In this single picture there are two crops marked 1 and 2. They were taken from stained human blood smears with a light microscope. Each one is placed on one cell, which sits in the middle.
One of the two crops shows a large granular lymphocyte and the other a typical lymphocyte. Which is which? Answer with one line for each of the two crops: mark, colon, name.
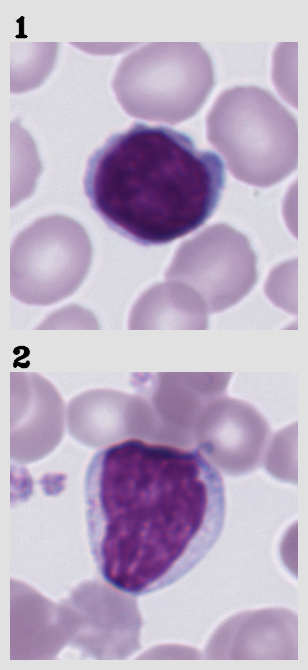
1: typical lymphocyte
2: large granular lymphocyte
